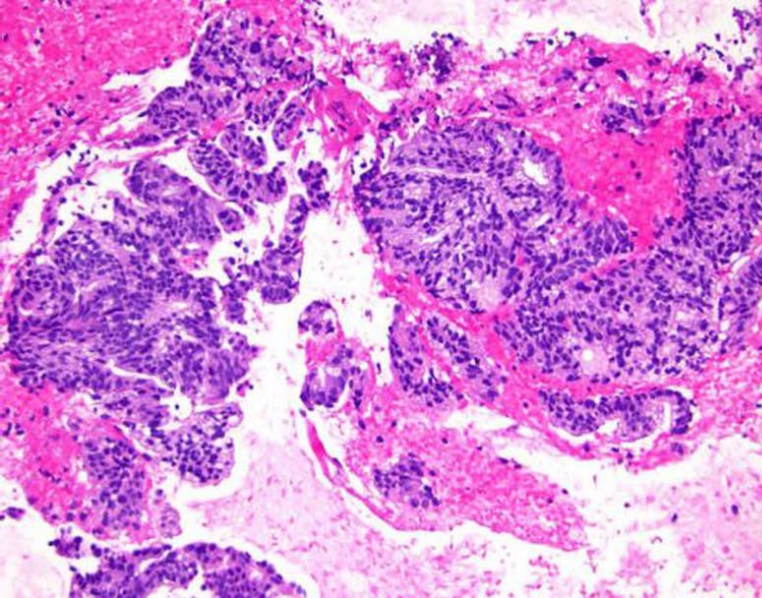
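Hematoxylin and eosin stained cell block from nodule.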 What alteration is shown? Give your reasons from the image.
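Crowded atypical epithelial cells form small gland-like lumina. Cells are arranged in cohesive clusters rather than singly.
Hence: adenocarcinoma.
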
